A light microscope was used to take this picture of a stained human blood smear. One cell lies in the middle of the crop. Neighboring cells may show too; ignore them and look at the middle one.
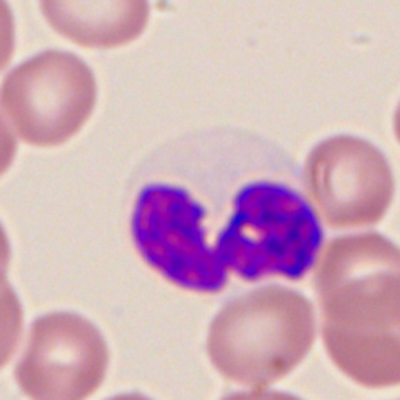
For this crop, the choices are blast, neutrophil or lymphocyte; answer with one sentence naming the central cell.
Present in the middle of the crop is a neutrophil.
